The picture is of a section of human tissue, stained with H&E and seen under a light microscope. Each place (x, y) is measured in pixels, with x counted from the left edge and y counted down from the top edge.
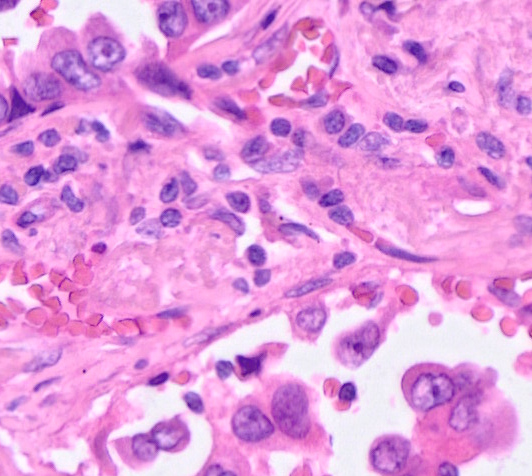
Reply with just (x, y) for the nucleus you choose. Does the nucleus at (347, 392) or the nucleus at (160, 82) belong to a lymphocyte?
(347, 392)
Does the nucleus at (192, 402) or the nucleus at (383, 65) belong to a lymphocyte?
(192, 402)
